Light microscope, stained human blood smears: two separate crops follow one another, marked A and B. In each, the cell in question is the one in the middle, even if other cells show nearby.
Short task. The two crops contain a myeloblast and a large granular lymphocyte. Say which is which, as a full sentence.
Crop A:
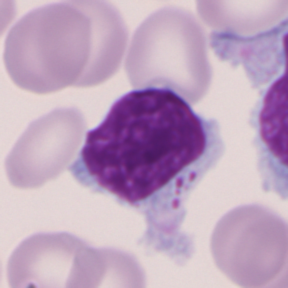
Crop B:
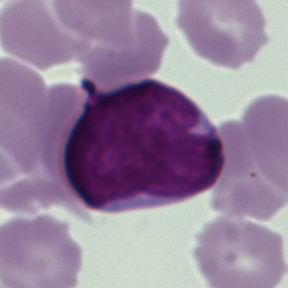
Crop A contains a large granular lymphocyte, and crop B contains a myeloblast.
